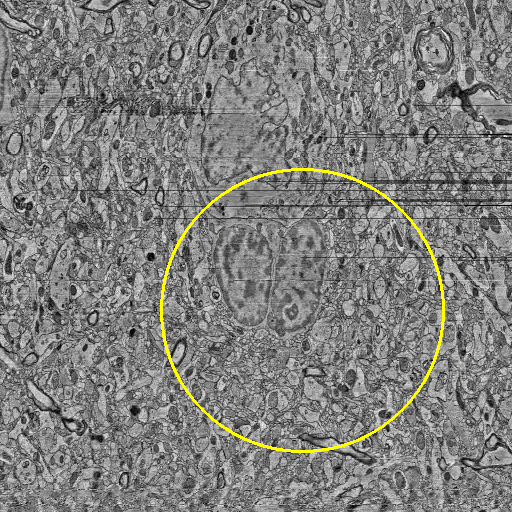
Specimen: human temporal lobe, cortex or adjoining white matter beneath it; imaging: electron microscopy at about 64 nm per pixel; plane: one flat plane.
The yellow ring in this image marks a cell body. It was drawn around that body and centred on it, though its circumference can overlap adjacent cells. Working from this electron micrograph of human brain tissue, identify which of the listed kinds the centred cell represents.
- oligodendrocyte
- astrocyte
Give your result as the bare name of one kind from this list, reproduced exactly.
oligodendrocyte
